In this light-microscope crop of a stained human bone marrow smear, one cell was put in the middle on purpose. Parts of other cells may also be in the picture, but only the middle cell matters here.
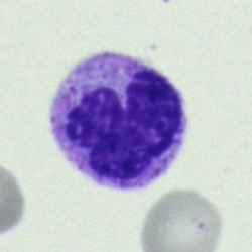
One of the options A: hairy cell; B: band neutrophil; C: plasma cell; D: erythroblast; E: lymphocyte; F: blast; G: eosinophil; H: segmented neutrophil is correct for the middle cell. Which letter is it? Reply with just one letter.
B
